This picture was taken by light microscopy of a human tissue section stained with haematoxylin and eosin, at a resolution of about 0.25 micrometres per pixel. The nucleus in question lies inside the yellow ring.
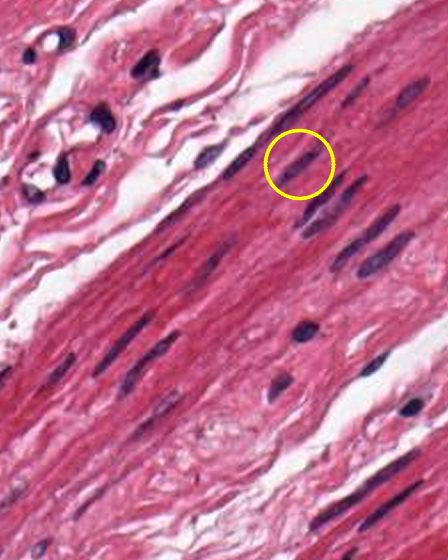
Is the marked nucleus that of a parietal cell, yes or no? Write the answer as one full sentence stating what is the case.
No, in this image, the nucleus with the marker is not from a parietal cell.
